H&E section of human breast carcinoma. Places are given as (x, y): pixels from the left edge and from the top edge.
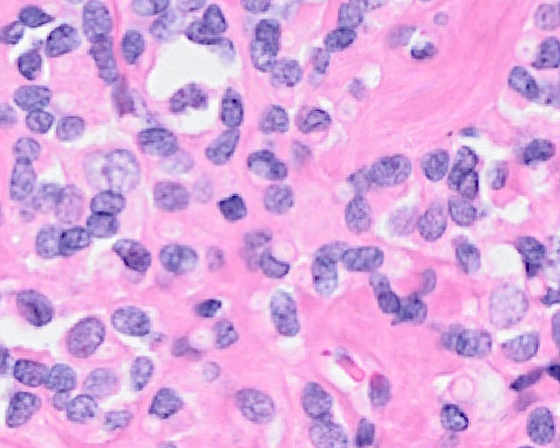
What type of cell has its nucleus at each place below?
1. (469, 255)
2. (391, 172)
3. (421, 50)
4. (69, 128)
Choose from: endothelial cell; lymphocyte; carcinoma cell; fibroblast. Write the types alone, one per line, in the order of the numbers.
carcinoma cell
carcinoma cell
endothelial cell
carcinoma cell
